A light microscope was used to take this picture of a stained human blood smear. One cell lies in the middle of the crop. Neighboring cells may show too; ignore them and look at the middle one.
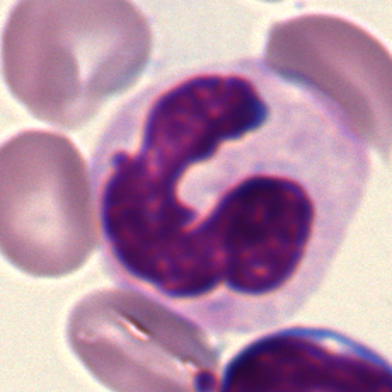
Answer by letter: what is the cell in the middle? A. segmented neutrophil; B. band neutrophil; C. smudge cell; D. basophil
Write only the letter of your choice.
B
